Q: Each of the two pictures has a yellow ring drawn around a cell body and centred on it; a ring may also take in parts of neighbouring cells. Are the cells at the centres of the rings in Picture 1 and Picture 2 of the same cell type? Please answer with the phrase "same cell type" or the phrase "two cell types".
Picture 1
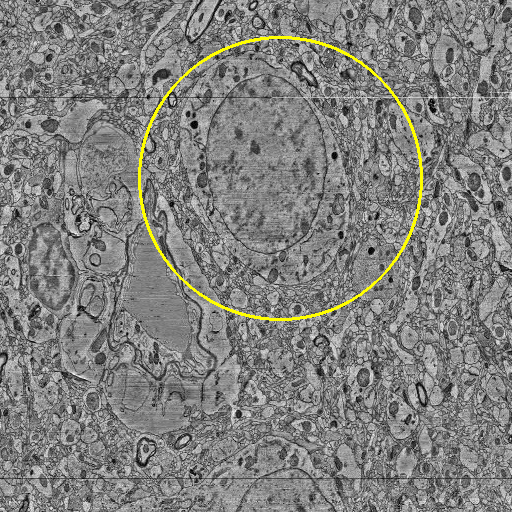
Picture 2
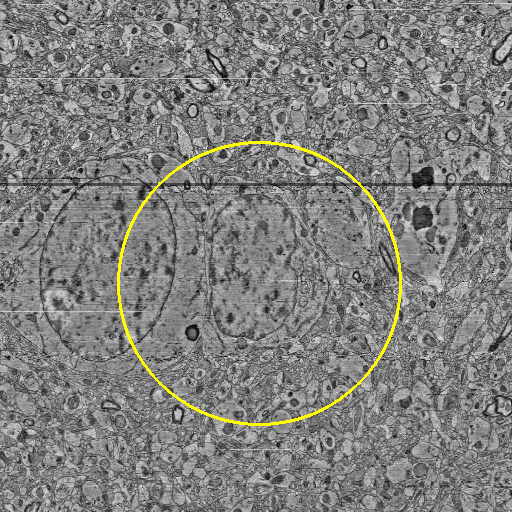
two cell types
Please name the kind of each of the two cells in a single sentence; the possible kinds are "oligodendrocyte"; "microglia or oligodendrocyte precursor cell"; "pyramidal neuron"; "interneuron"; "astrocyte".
In the first picture the ring is centred on a pyramidal neuron, and in the second on an interneuron.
